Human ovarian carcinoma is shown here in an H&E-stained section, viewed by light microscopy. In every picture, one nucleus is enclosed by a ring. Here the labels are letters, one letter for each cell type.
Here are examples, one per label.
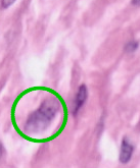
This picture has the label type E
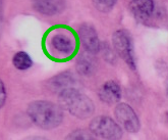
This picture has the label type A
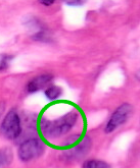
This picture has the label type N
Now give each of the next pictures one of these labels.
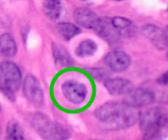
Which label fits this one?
type A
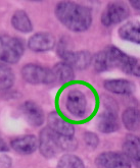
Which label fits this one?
type A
